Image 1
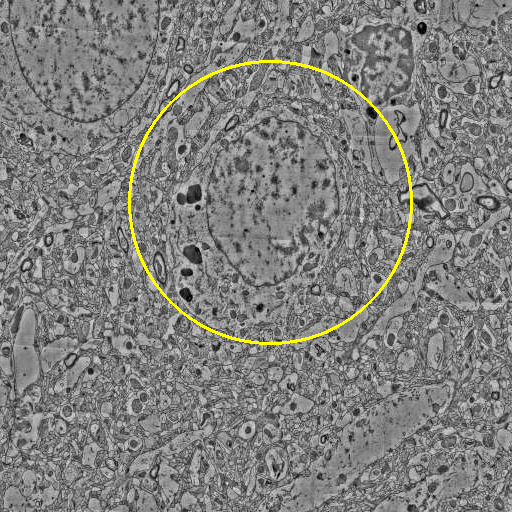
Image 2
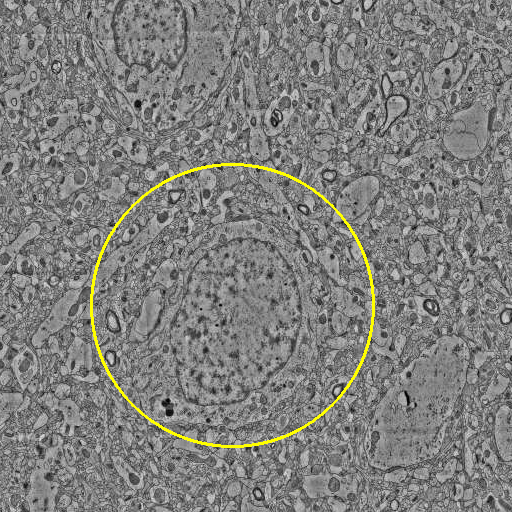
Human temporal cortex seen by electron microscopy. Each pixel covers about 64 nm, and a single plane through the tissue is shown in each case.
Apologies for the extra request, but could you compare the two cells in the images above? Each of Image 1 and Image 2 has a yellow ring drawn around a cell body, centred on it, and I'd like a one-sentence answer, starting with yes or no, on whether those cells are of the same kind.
Yes, both cells are of the same kind.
